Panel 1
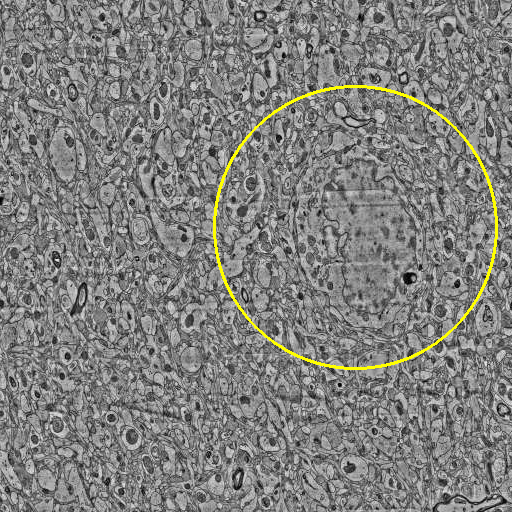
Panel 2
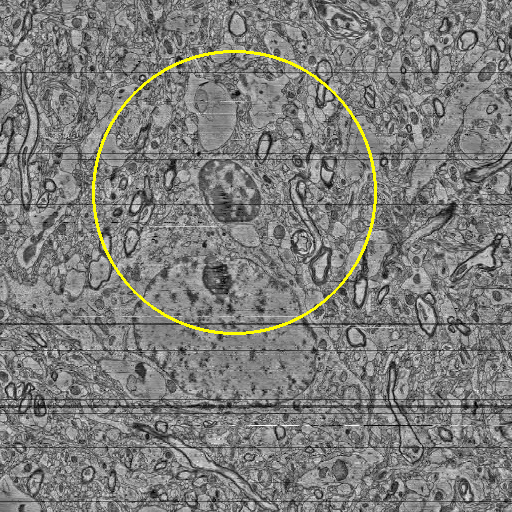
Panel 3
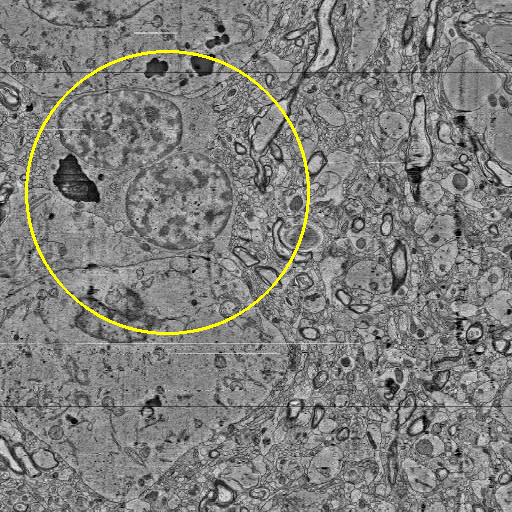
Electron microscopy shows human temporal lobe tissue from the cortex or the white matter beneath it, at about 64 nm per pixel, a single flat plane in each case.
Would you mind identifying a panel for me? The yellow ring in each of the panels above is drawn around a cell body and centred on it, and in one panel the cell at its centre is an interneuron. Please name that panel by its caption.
Panel 1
